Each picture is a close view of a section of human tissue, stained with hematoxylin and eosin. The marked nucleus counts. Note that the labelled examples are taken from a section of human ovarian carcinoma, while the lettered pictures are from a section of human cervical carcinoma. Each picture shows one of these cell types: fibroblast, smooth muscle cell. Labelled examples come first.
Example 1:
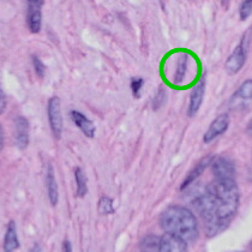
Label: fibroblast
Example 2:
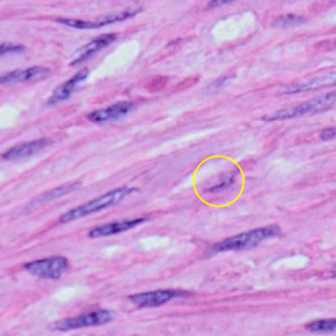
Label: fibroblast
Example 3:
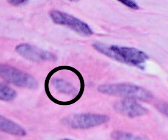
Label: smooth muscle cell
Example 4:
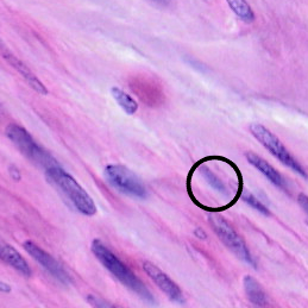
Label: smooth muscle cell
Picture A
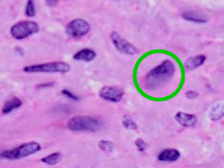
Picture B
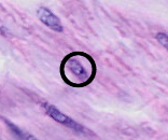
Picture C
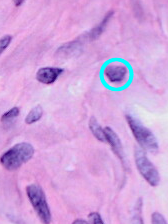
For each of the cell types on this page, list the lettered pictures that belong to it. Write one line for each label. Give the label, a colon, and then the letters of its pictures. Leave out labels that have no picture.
fibroblast: A, C
smooth muscle cell: B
